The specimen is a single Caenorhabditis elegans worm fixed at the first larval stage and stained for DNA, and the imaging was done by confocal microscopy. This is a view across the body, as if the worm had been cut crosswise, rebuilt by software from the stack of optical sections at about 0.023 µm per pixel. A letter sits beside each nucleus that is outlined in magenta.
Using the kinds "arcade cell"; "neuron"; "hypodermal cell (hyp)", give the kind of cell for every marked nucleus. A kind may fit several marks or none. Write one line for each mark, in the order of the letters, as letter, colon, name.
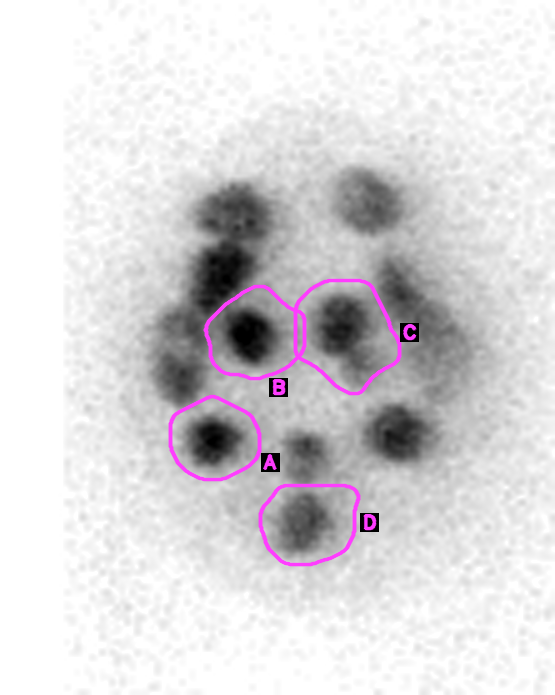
A: arcade cell
B: neuron
C: neuron
D: hypodermal cell (hyp)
